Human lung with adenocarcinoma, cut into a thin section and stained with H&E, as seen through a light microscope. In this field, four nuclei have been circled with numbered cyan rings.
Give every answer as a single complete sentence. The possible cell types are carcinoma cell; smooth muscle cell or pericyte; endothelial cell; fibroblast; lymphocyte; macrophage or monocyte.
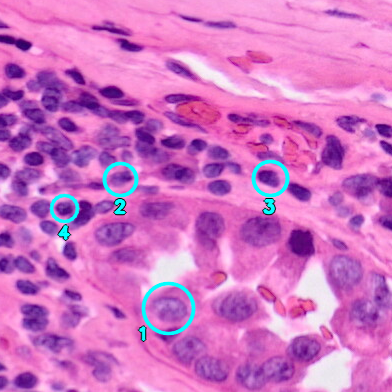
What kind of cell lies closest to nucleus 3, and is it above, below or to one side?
Lying above nucleus 3, the nearest nucleus is that of an endothelial cell.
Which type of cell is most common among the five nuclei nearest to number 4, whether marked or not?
Around number 4, most of the five nearest nuclei are those of lymphocytes.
